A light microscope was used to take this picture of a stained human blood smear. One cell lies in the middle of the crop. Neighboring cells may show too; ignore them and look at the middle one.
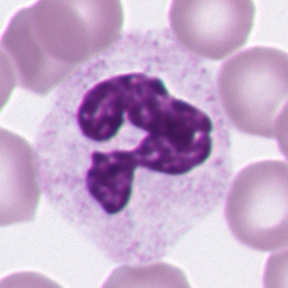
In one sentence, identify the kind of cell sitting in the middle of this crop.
Positioned in the middle of the crop is a neutrophil.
